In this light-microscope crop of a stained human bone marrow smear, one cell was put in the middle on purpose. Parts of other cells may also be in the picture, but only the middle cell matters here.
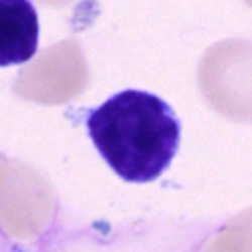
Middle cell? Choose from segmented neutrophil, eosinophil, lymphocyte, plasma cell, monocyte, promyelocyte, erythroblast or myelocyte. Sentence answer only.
In the center of this field lies a lymphocyte.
